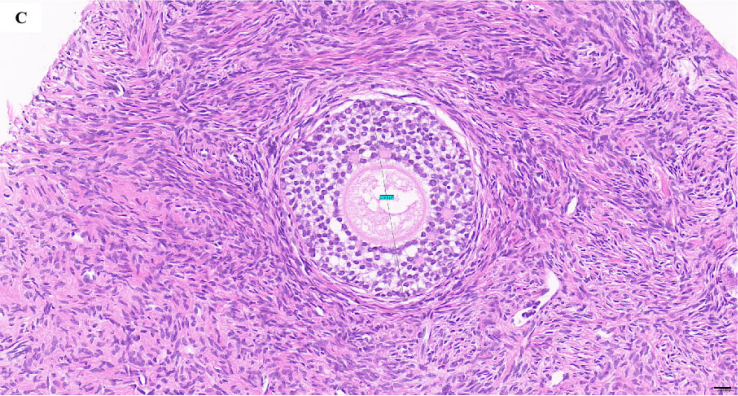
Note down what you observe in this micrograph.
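In the middle of dense ovarian cortical stroma of wavy spindle cells sits a round follicle: a large oocyte with pale, finely granular cytoplasm is wrapped by a thick, glassy pink rim, and around it lie several layers of small cells with round dark purple nuclei. Outside these, flattened spindle cells of the stroma are arranged in concentric layers that encircle the follicle. This is a growing follicle, past the primordial stage, lying within the cortex.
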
